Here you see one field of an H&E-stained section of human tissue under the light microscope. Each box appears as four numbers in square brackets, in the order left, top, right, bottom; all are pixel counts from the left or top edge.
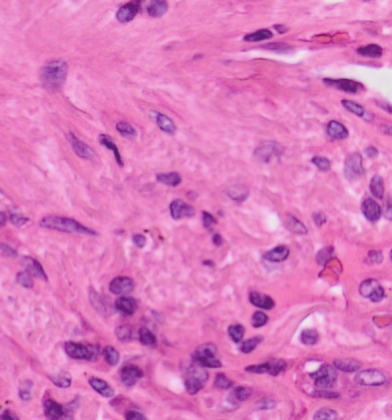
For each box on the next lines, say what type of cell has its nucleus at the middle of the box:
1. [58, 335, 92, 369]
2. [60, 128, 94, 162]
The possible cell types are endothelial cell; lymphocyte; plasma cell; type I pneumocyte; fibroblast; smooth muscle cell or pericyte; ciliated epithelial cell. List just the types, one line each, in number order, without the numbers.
plasma cell
smooth muscle cell or pericyte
